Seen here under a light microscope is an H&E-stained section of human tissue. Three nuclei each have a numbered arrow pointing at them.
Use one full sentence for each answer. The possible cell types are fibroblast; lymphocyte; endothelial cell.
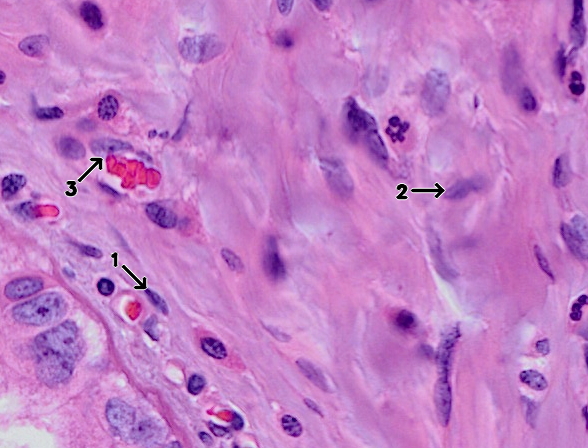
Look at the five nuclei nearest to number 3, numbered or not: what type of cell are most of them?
Endothelial cells account for more than half of the five nuclei nearest to number 3.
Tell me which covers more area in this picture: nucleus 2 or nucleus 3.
Of the two, number 3 is bigger and takes up about 2 times the area of number 2.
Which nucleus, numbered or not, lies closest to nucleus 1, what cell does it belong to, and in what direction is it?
The closest nucleus belongs to a fibroblast and sits below nucleus 1.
